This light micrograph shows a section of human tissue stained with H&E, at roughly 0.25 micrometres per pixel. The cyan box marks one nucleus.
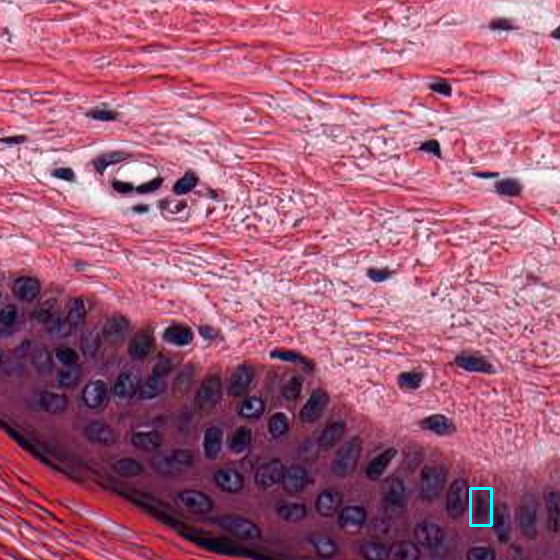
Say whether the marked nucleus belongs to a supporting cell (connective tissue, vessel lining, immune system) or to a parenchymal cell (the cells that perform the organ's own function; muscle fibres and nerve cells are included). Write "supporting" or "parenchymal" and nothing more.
parenchymal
